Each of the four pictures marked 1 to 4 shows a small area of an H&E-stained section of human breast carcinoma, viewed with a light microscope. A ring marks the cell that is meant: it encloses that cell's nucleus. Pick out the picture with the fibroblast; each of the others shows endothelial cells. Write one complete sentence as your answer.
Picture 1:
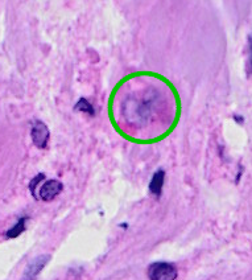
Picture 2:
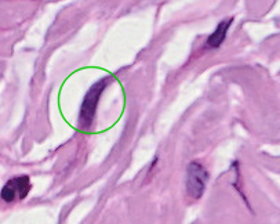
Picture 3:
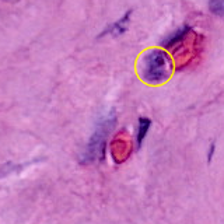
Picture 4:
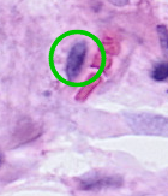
The picture with the fibroblast is 2.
